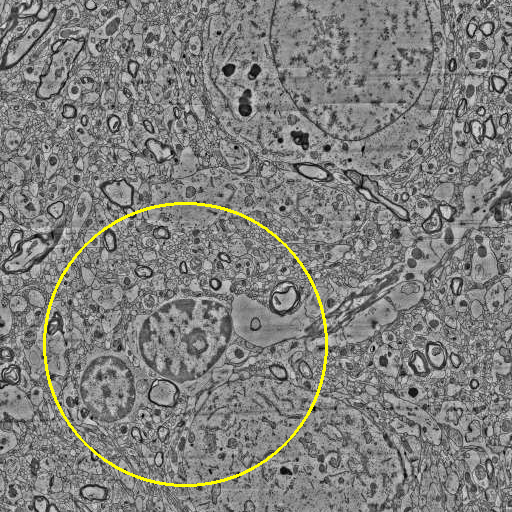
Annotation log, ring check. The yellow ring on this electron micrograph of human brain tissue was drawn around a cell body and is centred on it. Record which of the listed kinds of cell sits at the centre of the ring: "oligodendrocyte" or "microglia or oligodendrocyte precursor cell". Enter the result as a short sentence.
The cell at the centre of the ring is a microglial cell or oligodendrocyte precursor cell.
